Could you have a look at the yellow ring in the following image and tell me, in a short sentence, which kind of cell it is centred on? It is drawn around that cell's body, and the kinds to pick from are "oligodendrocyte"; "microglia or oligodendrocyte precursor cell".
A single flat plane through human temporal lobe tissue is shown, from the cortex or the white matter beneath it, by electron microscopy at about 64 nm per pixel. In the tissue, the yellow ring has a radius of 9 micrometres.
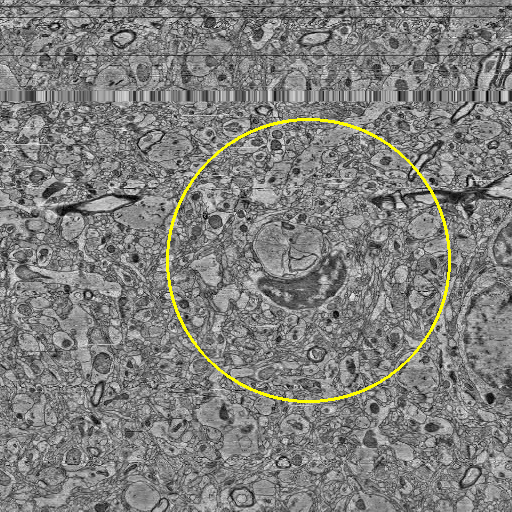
The ring is centred on the body of a microglial cell or oligodendrocyte precursor cell.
